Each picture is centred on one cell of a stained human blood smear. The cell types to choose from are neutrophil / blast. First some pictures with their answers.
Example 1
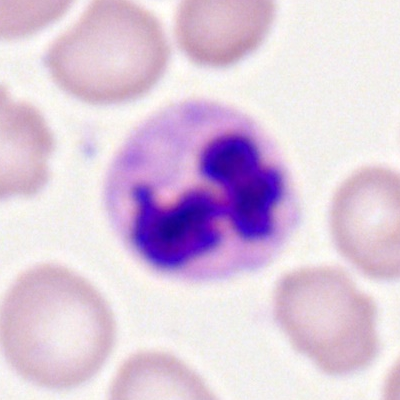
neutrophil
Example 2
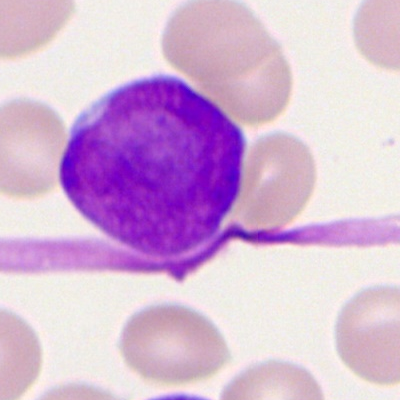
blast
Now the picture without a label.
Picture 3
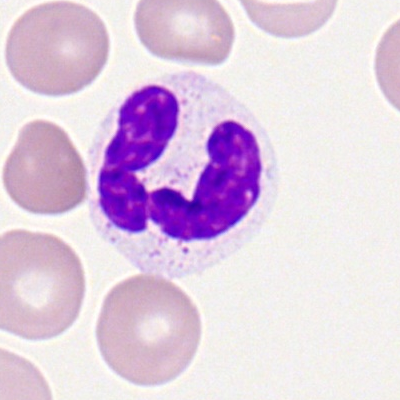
neutrophil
